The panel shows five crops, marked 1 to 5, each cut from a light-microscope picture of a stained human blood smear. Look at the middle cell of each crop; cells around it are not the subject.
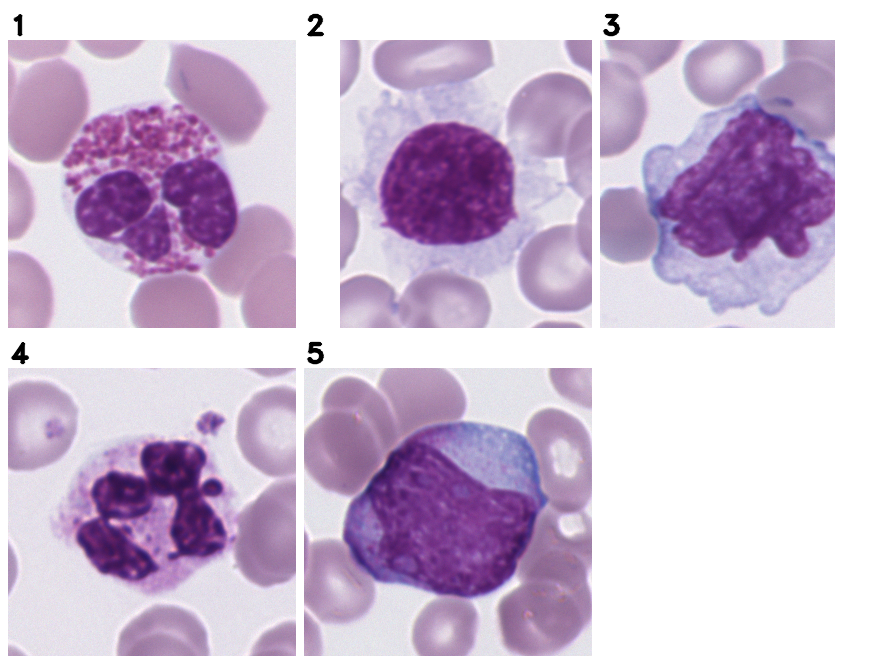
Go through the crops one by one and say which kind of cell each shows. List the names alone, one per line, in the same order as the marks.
eosinophil
hairy cell
monocyte
segmented neutrophil
atypical promyelocyte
